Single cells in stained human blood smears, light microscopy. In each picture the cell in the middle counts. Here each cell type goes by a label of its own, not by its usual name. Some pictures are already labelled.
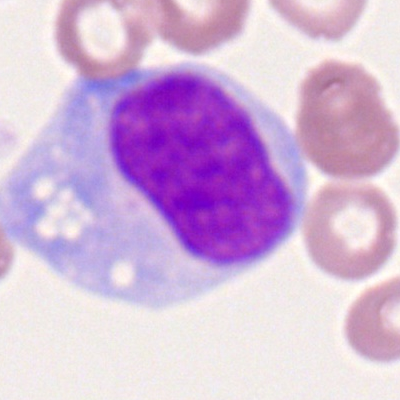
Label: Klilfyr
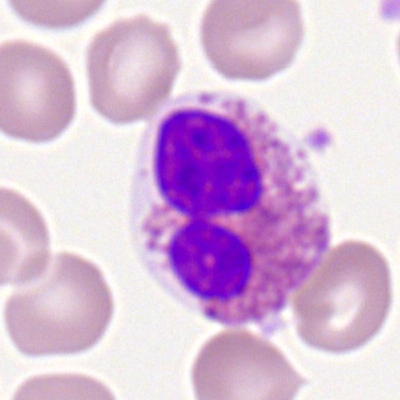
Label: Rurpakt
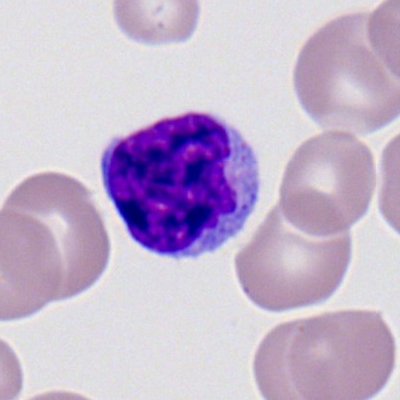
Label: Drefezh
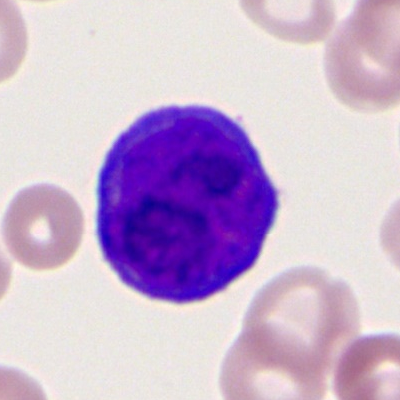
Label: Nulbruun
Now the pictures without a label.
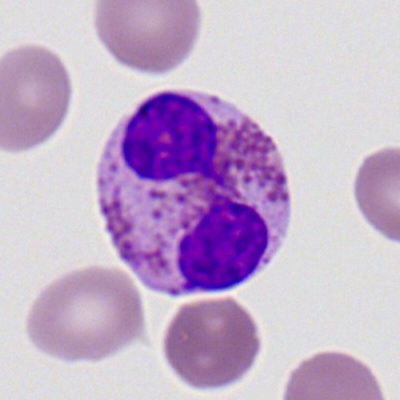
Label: Rurpakt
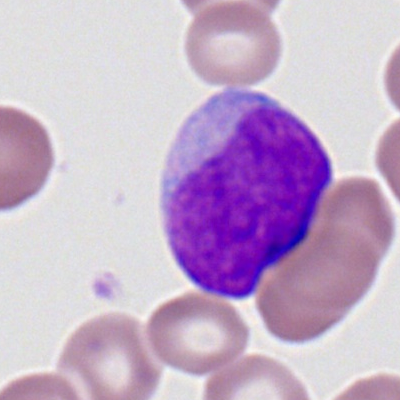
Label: Nulbruun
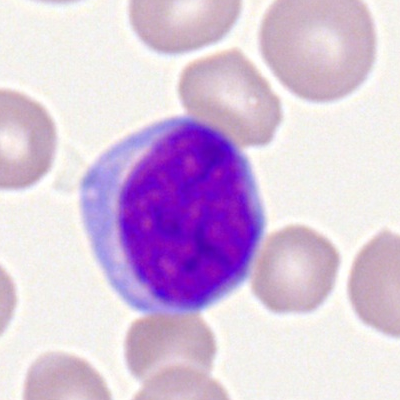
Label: Drefezh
